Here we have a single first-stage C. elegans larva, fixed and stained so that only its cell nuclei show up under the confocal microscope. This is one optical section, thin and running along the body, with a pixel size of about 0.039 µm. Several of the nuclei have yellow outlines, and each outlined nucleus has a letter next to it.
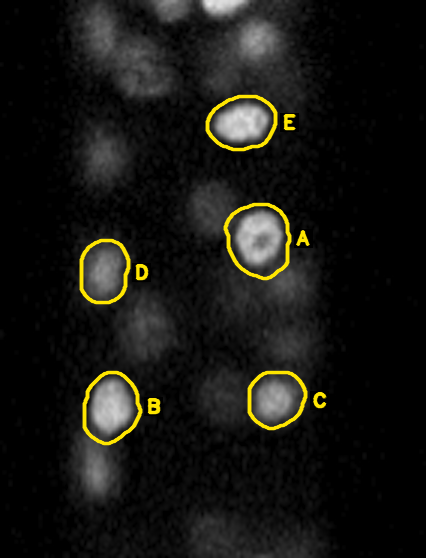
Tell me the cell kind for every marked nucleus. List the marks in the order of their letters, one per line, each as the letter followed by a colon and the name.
A: body wall muscle cell
B: neuron
C: body wall muscle cell
D: body wall muscle cell
E: coelomocyte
